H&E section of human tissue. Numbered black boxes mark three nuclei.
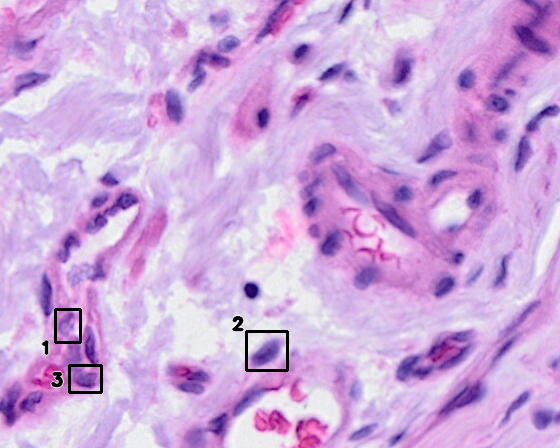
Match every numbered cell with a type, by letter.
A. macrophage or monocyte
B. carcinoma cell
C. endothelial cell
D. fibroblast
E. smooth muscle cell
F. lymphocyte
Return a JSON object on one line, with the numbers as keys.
{"1": "C", "2": "D", "3": "C"}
